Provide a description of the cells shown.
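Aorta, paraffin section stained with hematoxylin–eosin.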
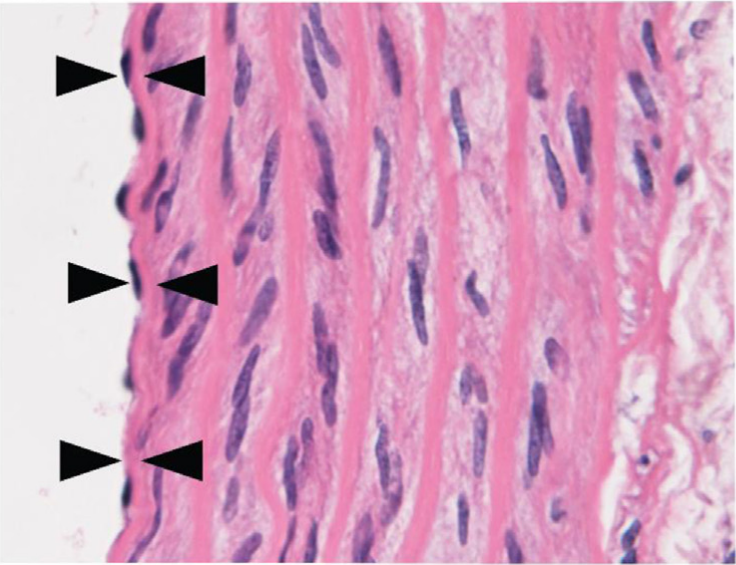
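This is a section of the aortic wall, with the lumen at the left, lined by a thin endothelial cell layer of flattened cells whose dark, elongated nuclei form a single row on the luminal surface. Beneath the lining, the wall consists of layers of elongated, spindle-shaped smooth muscle nuclei oriented parallel to the surface. These cell layers alternate with wavy, bright pink bands of elastic lamellae. Toward the right, the tissue becomes looser and paler.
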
